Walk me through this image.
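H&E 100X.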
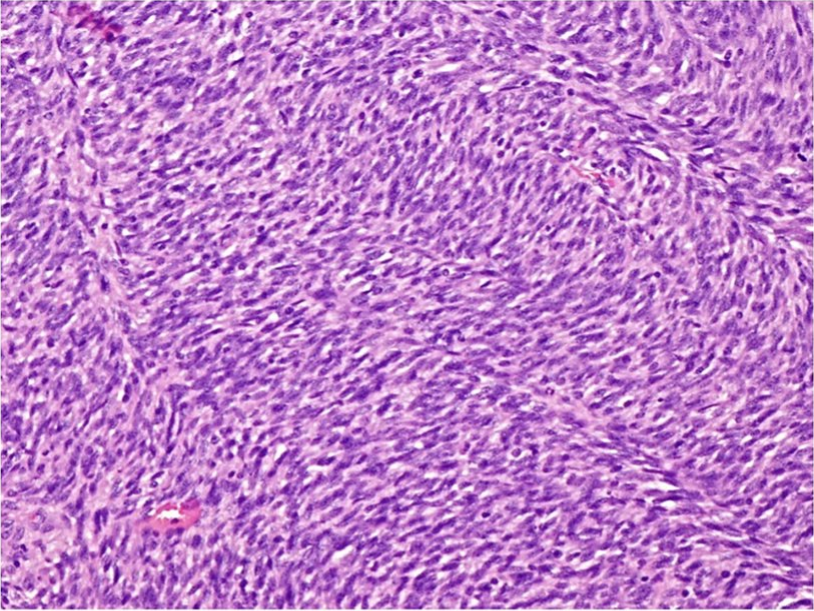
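This is a densely cellular tumor made of spindle-shaped cells stained purple and pink. Nuclei are elongated and dark, varying somewhat in size and shape, with scant pale pink cytoplasm between them. A few small vessels with red blood cells lie among the cell bundles.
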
